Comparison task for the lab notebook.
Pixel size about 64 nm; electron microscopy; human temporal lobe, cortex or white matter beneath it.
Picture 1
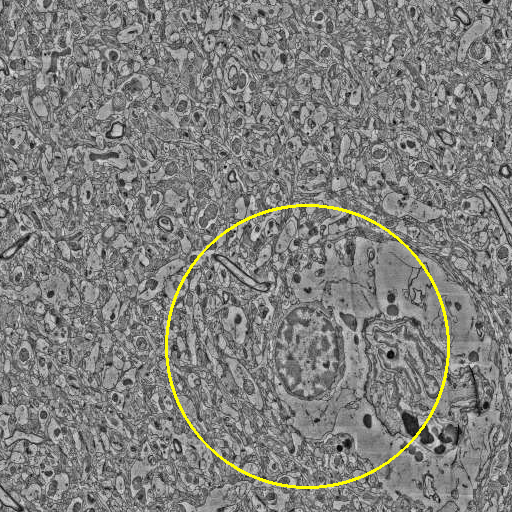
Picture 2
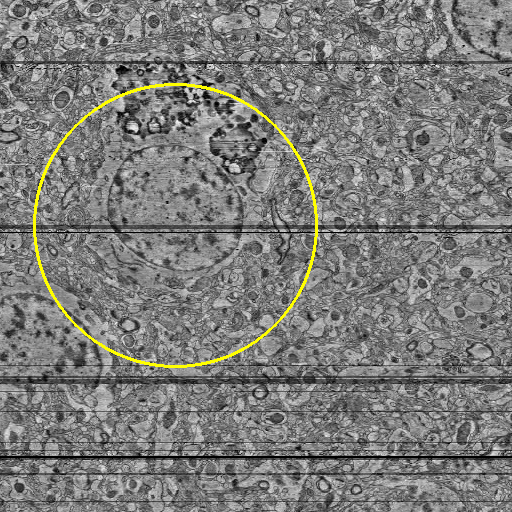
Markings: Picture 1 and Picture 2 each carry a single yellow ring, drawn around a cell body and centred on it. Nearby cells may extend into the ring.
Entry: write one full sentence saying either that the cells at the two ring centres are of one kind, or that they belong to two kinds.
The cells sitting at the ring centres in Picture 1 and Picture 2 belong to two kinds.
